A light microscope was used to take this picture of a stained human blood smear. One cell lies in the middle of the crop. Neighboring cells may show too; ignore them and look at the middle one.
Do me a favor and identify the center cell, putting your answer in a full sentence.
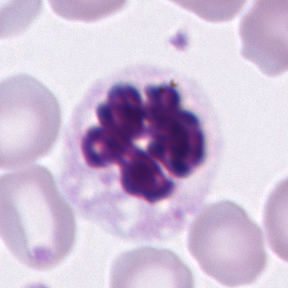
In the crop, the cell of interest at the centre is a segmented neutrophil.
